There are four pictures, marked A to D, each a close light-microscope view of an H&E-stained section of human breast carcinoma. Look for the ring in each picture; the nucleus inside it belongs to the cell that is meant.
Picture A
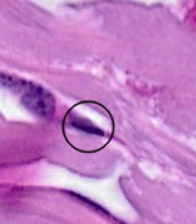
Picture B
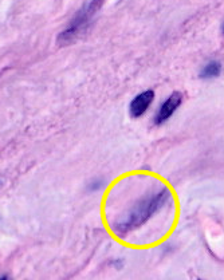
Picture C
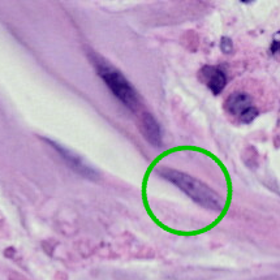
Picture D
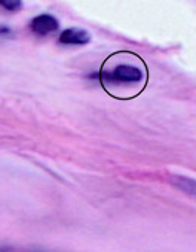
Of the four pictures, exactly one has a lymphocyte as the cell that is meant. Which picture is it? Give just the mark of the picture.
D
